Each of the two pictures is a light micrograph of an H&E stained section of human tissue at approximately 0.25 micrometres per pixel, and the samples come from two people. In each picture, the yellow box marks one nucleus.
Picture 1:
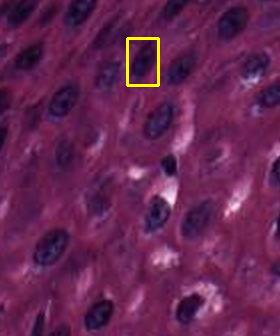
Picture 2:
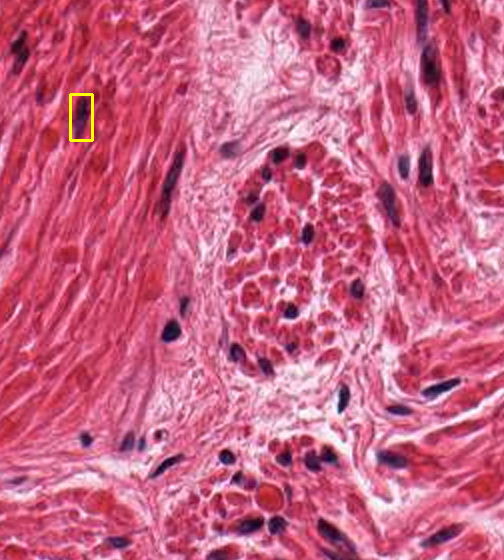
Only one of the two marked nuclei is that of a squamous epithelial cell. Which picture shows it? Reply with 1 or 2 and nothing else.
1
